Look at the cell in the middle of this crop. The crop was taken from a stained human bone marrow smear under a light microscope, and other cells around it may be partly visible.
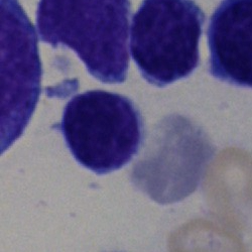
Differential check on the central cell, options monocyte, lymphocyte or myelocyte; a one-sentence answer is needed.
Among the cells in view, the one in the middle is a lymphocyte.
